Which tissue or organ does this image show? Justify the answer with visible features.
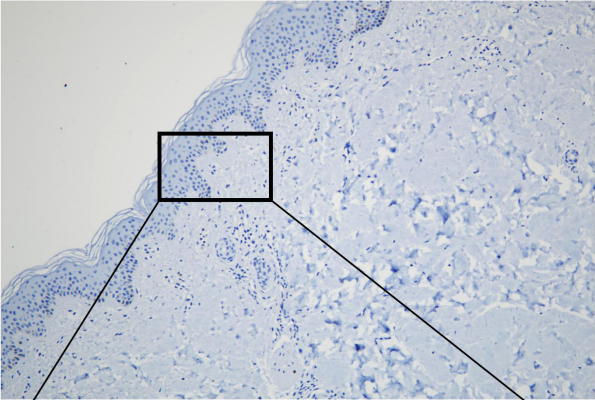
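Skin. A stratified squamous epithelium with rete ridges lines the left edge. A pale fibrous connective tissue with scattered nuclei lies beneath it.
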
